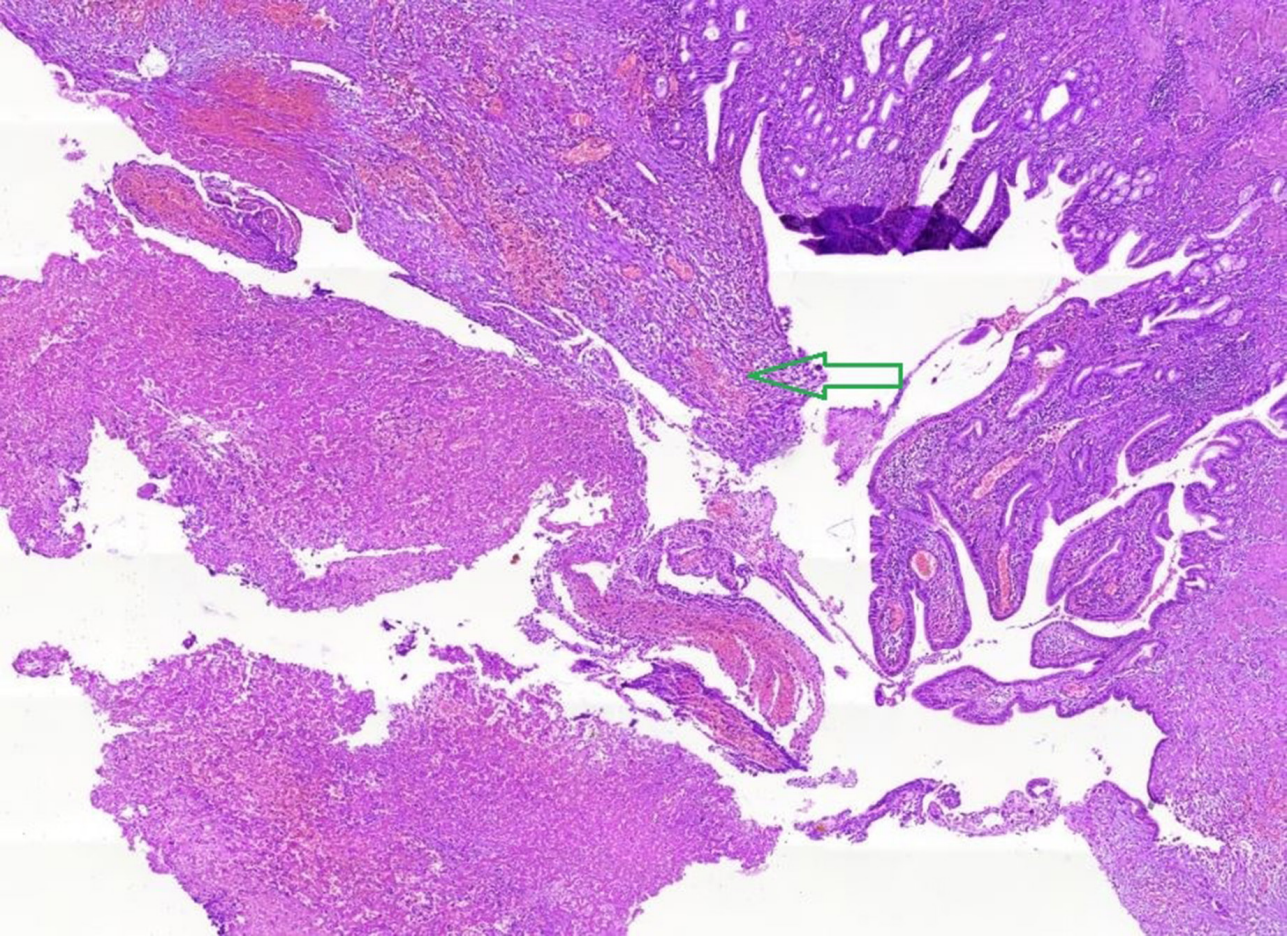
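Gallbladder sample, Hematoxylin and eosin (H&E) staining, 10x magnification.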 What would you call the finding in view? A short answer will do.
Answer: Ulcerated mucosa.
